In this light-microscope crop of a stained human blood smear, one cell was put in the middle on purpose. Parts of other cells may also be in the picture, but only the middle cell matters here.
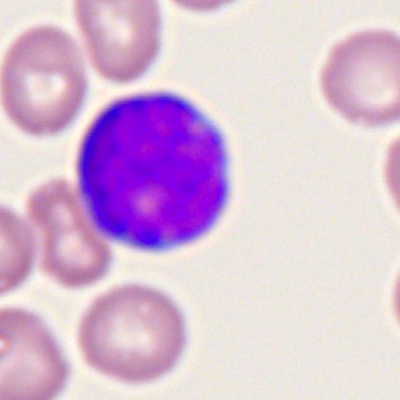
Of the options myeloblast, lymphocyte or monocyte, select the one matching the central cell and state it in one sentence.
The cell at the middle of the frame should be recorded as a lymphocyte.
